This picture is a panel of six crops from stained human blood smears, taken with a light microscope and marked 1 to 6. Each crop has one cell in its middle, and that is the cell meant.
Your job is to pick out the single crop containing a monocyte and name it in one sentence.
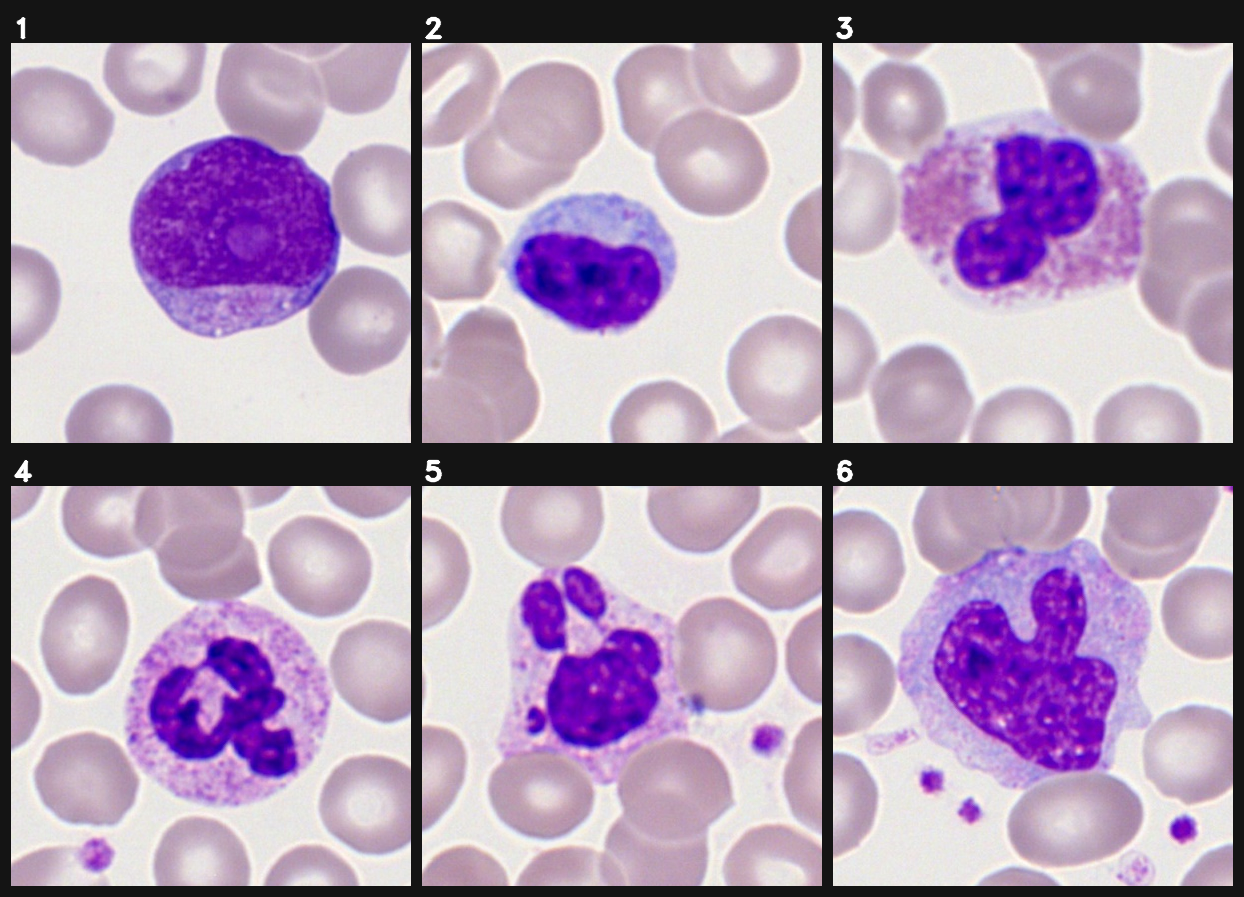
The crop showing a monocyte in this series is crop 6.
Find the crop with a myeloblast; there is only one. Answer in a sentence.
Of these crops, it is crop 1 that shows a myeloblast.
